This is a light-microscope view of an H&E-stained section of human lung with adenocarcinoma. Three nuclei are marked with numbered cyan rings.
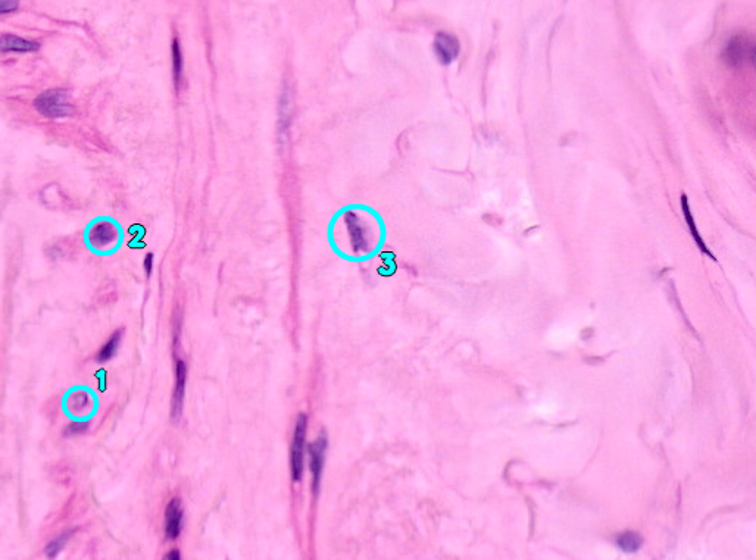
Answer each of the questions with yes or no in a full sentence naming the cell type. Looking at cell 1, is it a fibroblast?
No, it is not a fibroblast that bears number 1 but a smooth muscle cell or pericyte.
